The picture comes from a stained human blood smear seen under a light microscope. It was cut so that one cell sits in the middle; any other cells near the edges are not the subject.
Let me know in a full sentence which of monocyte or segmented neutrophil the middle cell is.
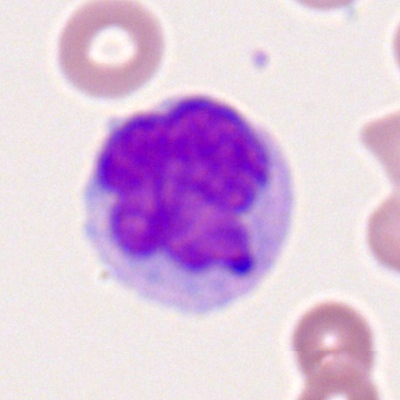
The cell shown in the center of this light-microscope crop is a monocyte.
